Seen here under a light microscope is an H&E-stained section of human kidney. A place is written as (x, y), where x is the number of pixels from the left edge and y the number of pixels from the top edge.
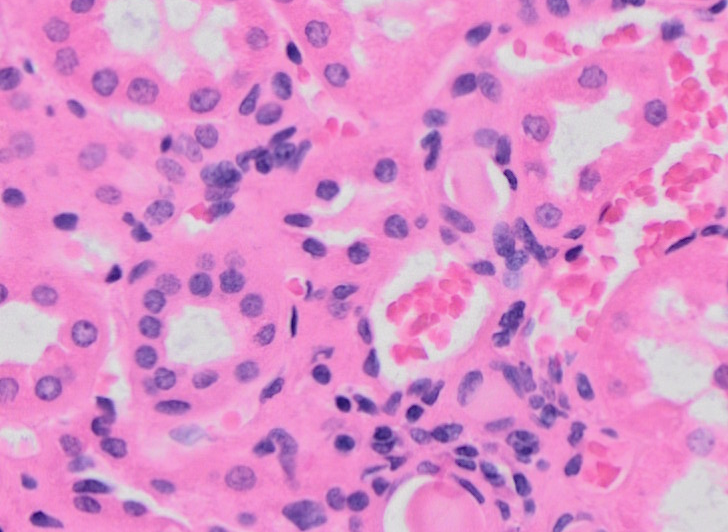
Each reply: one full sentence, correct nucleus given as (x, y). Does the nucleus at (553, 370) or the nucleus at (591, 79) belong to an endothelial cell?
Of the two nuclei, the nucleus belonging to an endothelial cell is located at (553, 370).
